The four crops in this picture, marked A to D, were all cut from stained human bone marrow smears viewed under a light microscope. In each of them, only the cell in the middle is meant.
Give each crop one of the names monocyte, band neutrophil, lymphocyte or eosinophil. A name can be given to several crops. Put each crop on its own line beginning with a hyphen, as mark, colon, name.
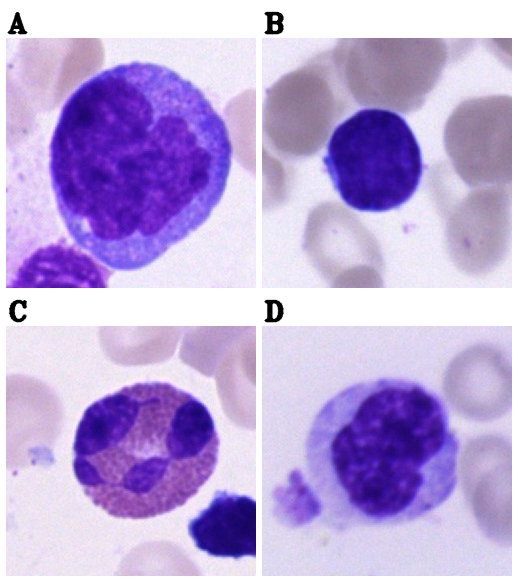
- A: monocyte
- B: lymphocyte
- C: eosinophil
- D: monocyte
